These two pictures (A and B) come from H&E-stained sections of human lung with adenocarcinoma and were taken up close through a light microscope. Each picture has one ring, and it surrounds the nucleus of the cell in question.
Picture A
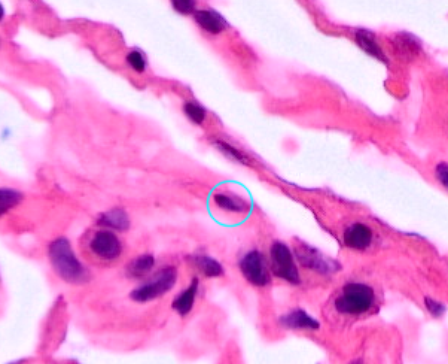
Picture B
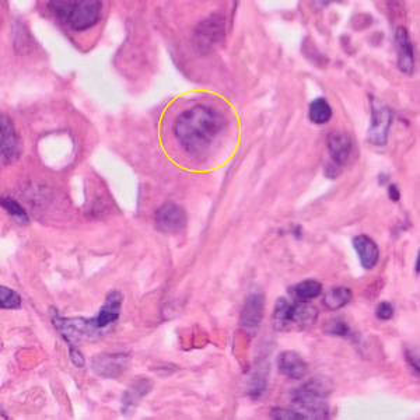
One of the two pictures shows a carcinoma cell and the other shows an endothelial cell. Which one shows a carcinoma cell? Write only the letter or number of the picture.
B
